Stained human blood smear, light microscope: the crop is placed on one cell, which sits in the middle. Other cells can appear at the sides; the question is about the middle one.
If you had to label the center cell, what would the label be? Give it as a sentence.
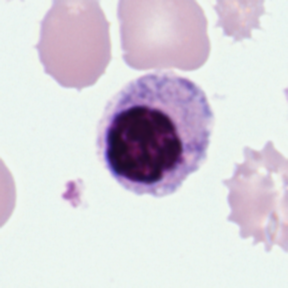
The cell of interest, in the center, is a normoblast.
